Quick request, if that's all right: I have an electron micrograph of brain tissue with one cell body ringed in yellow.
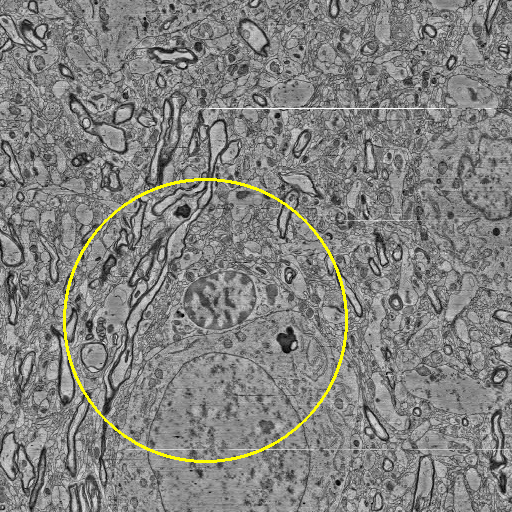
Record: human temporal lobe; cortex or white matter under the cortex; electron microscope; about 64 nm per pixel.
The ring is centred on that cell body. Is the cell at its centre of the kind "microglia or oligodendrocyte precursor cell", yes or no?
yes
